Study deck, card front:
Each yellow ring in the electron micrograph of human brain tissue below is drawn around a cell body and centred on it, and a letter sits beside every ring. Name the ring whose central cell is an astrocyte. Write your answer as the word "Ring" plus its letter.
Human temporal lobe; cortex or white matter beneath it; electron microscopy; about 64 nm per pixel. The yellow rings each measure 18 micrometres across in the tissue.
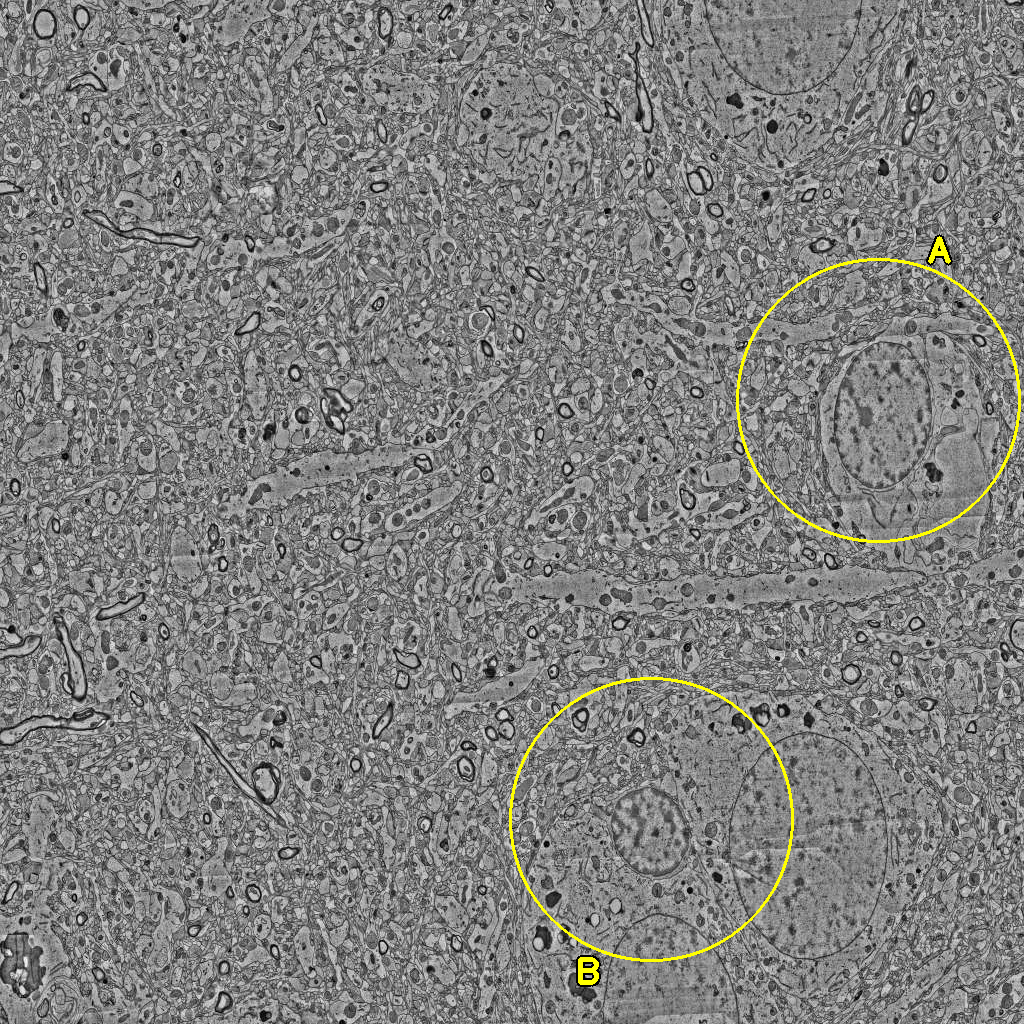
Ring A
